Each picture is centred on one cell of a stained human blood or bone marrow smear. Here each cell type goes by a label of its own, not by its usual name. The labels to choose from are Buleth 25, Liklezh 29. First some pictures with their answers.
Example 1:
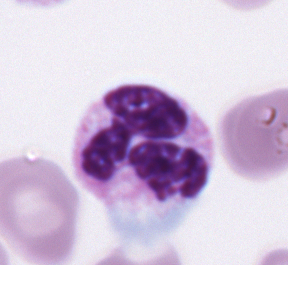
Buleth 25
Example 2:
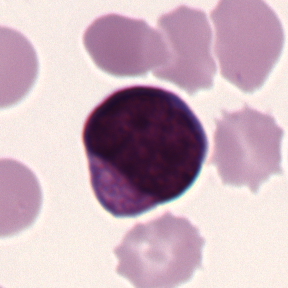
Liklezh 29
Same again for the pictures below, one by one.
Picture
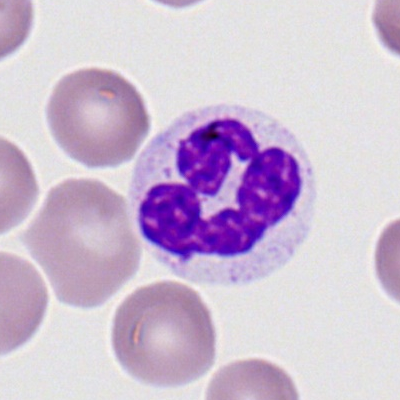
Buleth 25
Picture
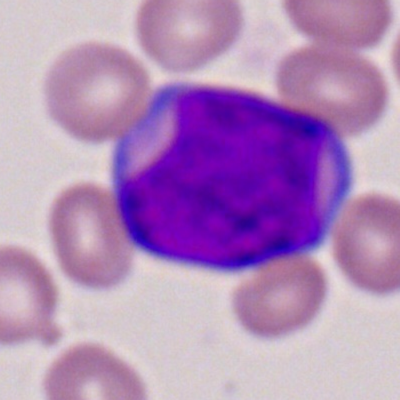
Liklezh 29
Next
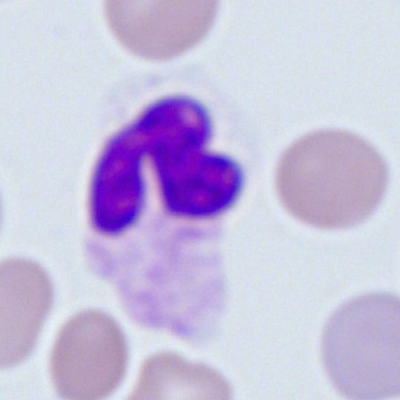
Buleth 25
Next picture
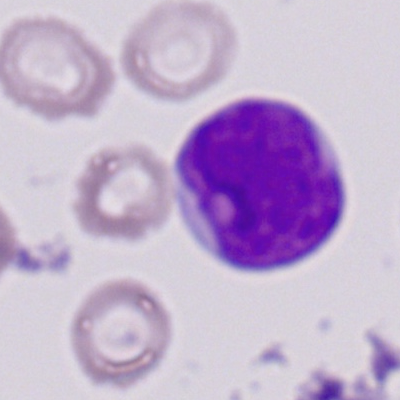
Liklezh 29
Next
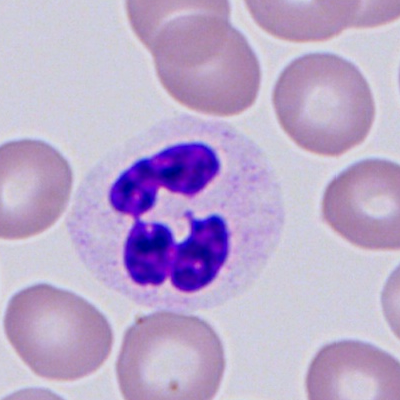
Buleth 25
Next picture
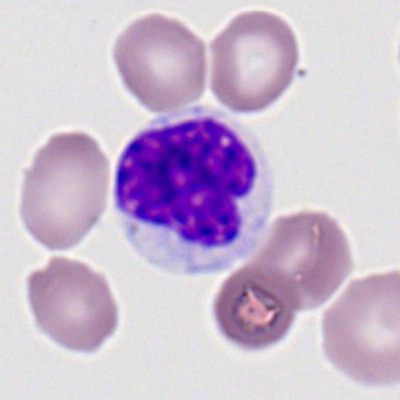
Buleth 25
